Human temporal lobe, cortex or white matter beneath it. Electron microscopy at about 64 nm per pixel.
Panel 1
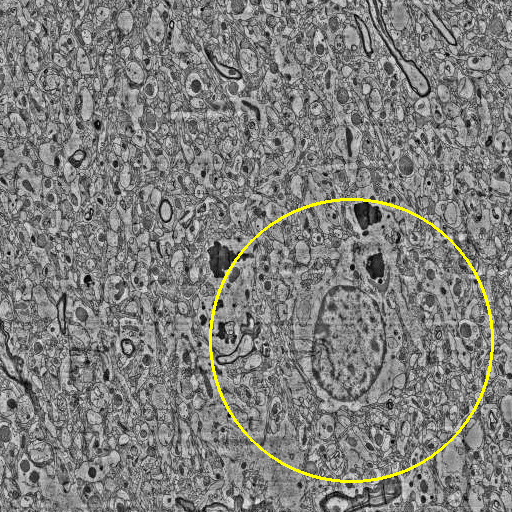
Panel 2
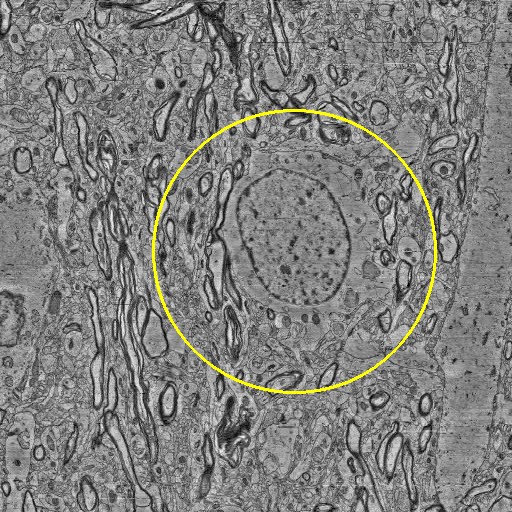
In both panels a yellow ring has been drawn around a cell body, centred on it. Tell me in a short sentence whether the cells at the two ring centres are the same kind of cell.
Yes, they are the same kind of cell.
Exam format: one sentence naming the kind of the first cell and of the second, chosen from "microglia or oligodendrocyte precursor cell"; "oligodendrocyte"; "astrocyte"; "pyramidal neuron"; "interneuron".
The cell at the ring centre is an astrocyte in both pictures.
